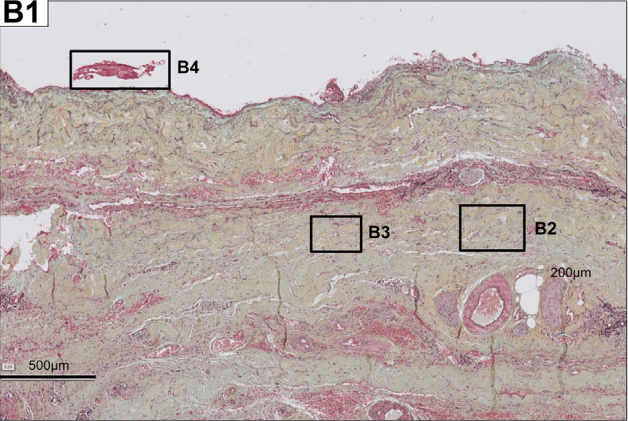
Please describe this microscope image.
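A thick-walled small vessel lies in the lower right part of the wall. On the luminal surface at upper left rests a loose bright red fragment, a remnant of thrombus.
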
